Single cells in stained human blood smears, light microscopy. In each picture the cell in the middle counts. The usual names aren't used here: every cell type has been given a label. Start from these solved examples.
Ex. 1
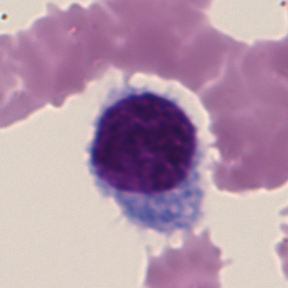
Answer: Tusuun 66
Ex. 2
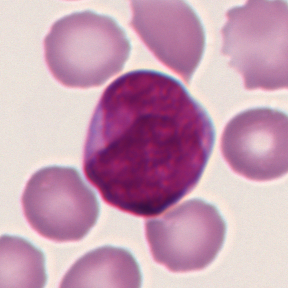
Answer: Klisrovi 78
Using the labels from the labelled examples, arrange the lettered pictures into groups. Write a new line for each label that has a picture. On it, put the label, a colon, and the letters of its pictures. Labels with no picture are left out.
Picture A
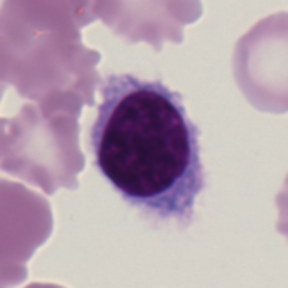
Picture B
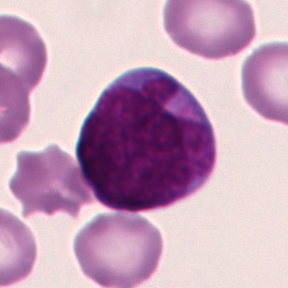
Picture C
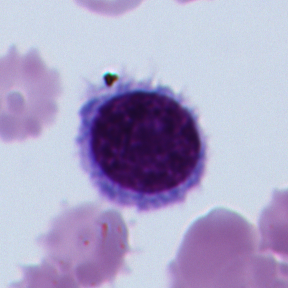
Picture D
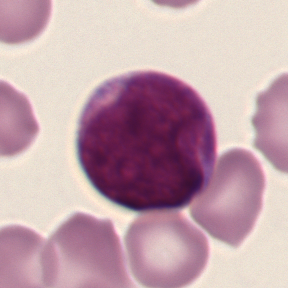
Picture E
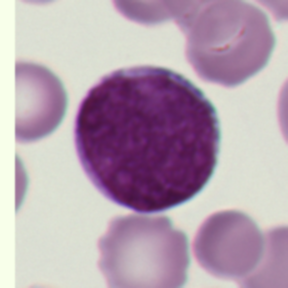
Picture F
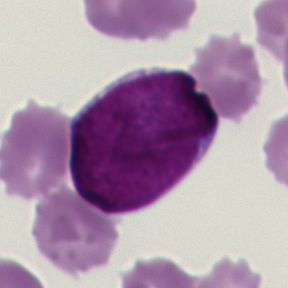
Tusuun 66: A, C
Klisrovi 78: B, D, E, F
